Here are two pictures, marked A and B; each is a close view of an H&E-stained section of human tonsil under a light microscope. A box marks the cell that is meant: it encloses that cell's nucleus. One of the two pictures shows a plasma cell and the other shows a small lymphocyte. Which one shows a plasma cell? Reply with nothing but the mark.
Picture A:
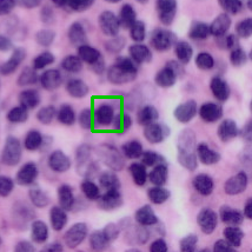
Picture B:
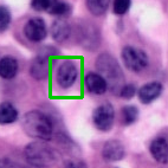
B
